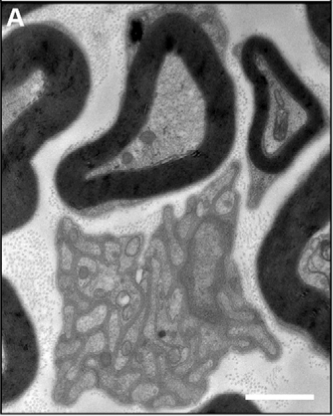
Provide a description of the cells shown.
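This is a cross-section of a peripheral nerve seen in the electron microscope. In the upper half, axons are cut across and each is surrounded by a thick, very dark ring of compact myelin; the pale axon interiors show fine granular texture and a few small round mitochondria. In the lower half lies something quite different: a cluster of many small, pale, rounded and irregular axon profiles packed together, none carrying its own dark sheath, all embedded in the grey cytoplasm of a single supporting cell. This is an unmyelinated bundle of small axons lying between the large myelinated fibres, with pale extracellular space and fine collagen fibrils around them.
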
